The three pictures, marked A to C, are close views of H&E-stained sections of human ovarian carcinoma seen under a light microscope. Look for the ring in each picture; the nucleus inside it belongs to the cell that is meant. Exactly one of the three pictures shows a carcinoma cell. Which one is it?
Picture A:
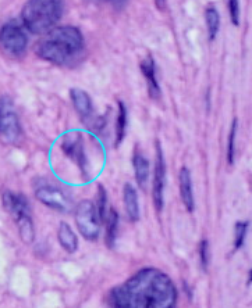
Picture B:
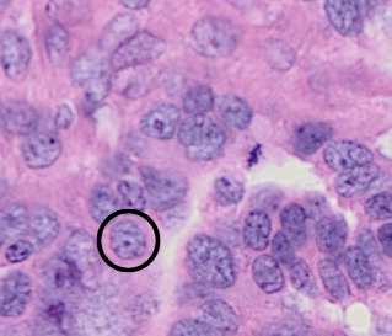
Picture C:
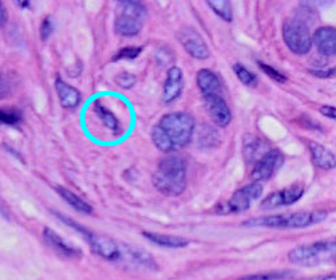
B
